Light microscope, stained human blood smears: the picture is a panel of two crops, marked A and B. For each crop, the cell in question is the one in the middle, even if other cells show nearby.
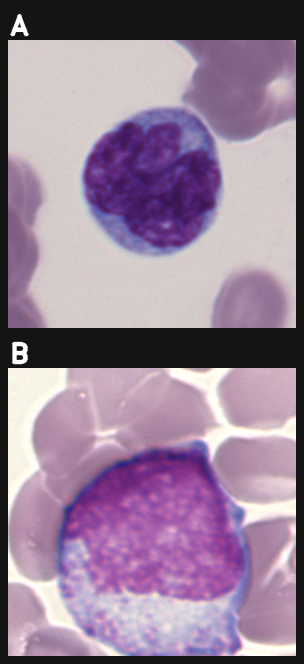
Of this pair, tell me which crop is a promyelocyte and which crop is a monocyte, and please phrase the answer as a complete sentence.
Here crop A is a monocyte, and crop B is a promyelocyte.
